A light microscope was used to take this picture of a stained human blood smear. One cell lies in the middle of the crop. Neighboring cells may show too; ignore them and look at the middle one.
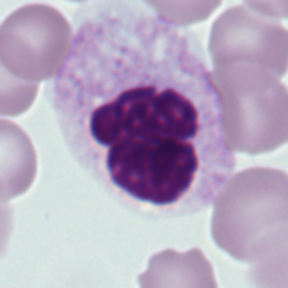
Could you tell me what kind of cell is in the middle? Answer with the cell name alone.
neutrophil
